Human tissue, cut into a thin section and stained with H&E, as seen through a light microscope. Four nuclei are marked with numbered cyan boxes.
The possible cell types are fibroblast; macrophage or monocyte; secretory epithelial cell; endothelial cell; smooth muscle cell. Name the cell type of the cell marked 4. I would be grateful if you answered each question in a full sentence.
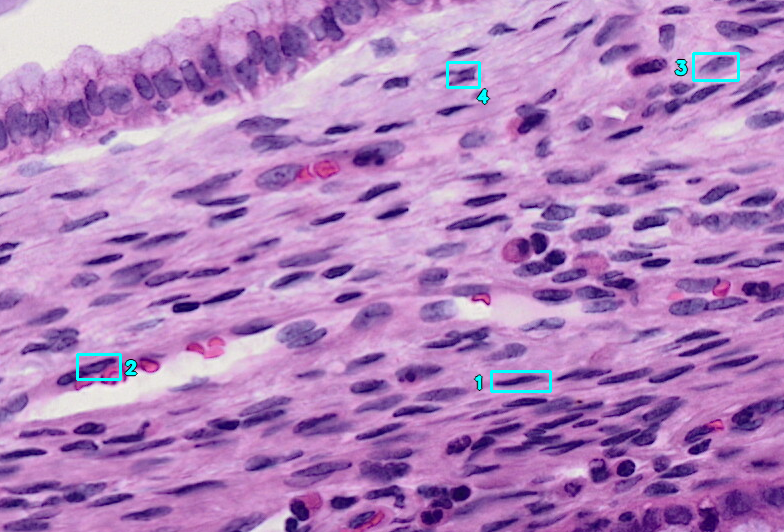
The nucleus with number 4 is that of a fibroblast.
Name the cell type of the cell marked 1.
Regarding cell 1, this one is a fibroblast.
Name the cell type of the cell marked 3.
The nucleus labeled 3 belongs to a fibroblast.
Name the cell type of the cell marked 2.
The cell to which the number 2 is assigned is an endothelial cell.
